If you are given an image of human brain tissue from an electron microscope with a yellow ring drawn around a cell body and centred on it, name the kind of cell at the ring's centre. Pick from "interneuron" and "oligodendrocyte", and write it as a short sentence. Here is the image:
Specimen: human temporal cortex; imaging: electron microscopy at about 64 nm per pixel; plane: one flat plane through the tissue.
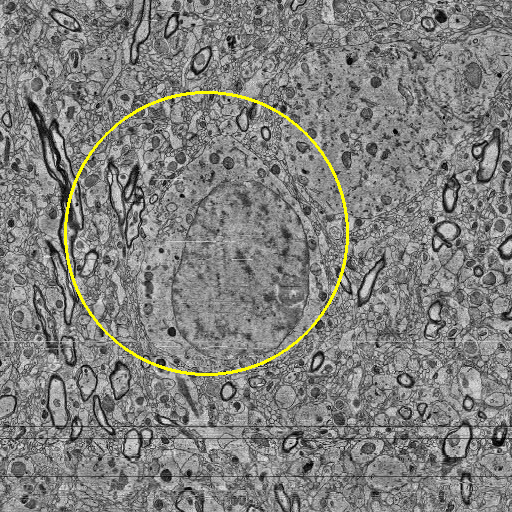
The cell at the ring's centre is an interneuron.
